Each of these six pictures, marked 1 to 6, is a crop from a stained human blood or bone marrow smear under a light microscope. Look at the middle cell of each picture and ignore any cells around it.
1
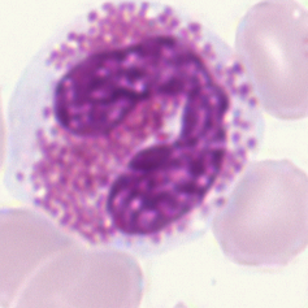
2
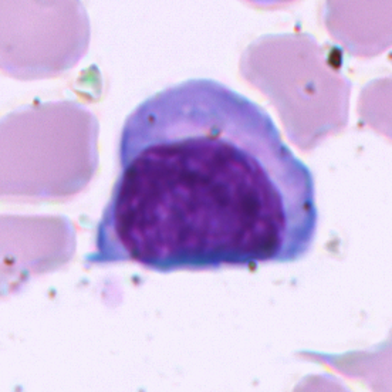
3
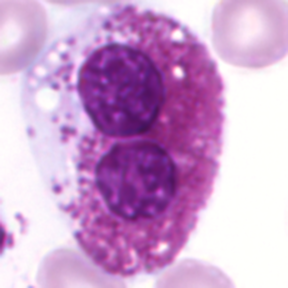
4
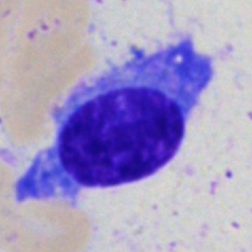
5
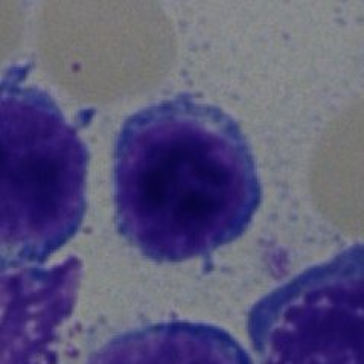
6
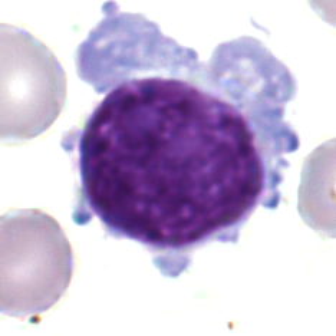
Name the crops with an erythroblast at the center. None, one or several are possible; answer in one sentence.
To answer plainly, no crop here shows an erythroblast.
